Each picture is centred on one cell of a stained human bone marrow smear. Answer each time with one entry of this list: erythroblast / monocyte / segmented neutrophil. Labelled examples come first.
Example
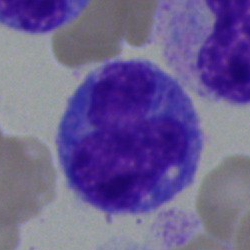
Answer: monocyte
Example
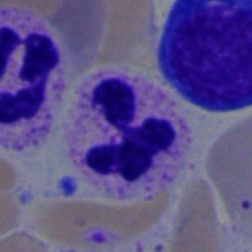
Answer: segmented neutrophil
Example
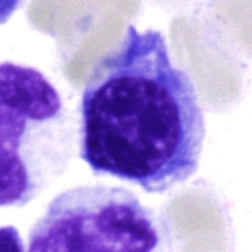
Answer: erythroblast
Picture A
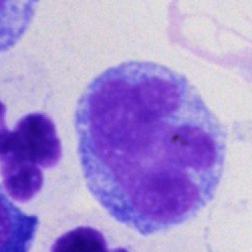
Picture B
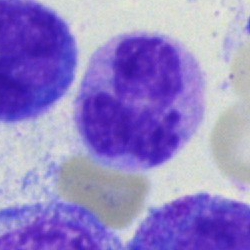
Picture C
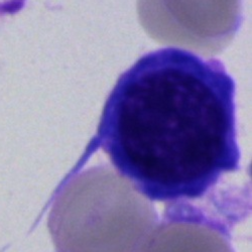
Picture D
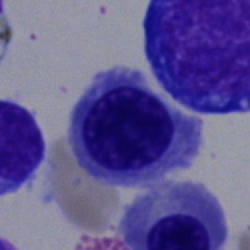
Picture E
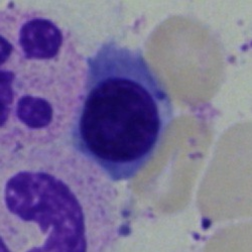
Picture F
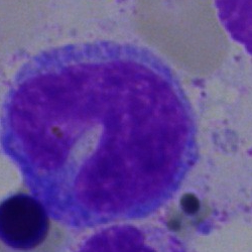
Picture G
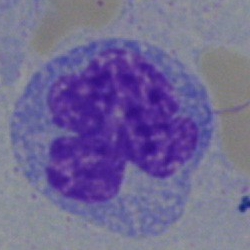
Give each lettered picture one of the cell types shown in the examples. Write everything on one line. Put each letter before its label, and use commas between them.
A monocyte, B monocyte, C erythroblast, D erythroblast, E erythroblast, F monocyte, G monocyte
